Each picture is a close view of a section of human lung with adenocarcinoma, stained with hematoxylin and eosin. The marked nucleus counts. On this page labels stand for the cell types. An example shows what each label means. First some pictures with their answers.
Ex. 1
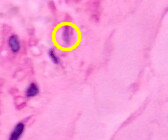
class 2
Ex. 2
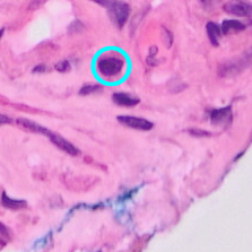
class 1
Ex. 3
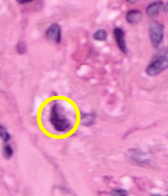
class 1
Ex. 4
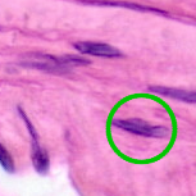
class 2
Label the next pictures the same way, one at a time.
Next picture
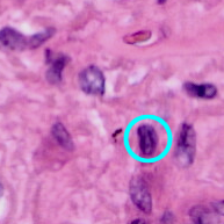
class 1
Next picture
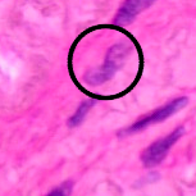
class 2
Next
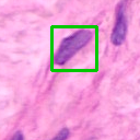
class 2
